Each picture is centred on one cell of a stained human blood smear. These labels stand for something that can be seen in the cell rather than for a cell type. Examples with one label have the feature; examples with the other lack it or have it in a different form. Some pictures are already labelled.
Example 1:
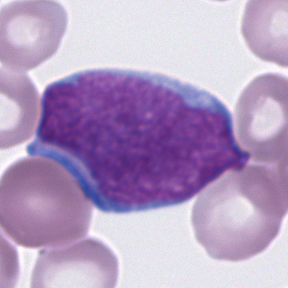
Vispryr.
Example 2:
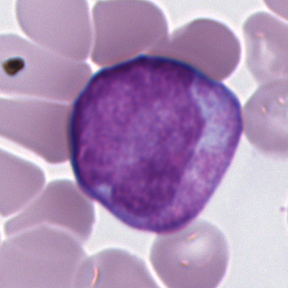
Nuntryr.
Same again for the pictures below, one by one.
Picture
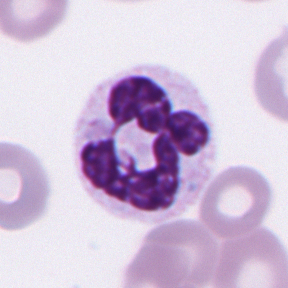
Nuntryr.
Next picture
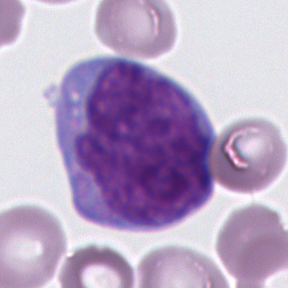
Nuntryr.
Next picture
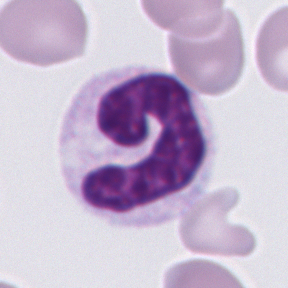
Nuntryr.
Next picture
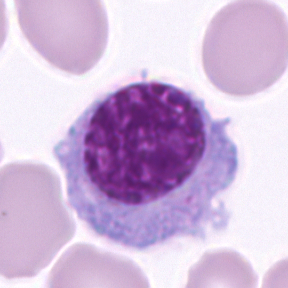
Vispryr.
